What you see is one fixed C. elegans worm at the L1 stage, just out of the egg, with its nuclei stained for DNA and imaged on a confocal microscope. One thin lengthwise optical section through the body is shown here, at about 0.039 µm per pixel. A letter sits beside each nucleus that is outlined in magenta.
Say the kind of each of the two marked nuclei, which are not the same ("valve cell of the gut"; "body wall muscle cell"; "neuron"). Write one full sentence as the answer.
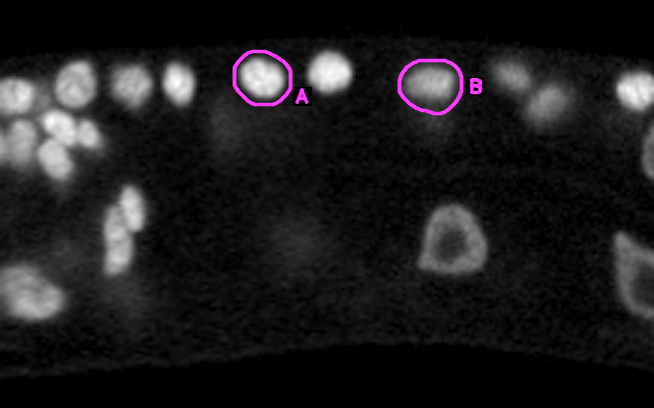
The nucleus A is that of a neuron, while B is that of a body wall muscle cell.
